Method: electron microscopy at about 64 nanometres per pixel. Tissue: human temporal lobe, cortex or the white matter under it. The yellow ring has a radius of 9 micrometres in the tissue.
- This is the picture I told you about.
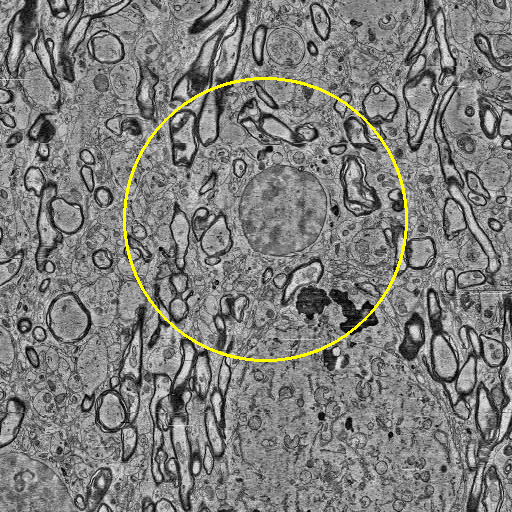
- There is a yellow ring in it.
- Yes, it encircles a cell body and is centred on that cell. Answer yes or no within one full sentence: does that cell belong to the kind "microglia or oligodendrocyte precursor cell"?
Yes, that cell, the one the yellow ring is centred on, belongs to this kind.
